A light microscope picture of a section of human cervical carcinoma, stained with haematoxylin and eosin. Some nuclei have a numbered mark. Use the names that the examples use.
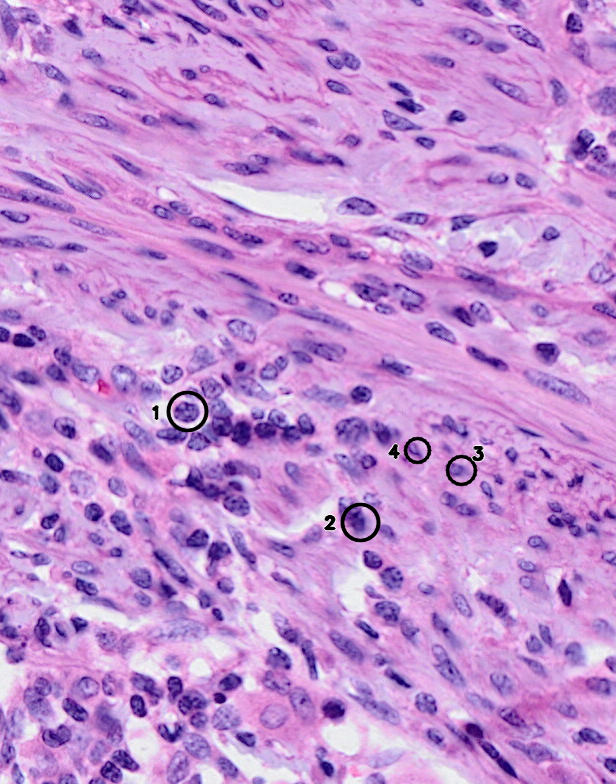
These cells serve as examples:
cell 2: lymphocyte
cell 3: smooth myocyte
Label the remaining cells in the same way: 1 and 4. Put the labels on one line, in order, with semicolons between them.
lymphocyte; smooth myocyte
